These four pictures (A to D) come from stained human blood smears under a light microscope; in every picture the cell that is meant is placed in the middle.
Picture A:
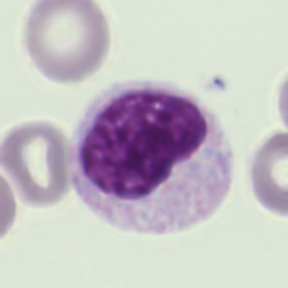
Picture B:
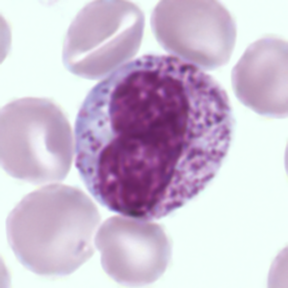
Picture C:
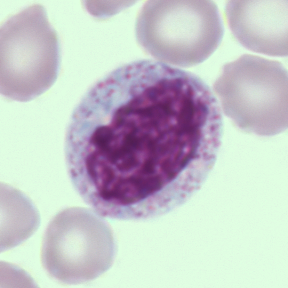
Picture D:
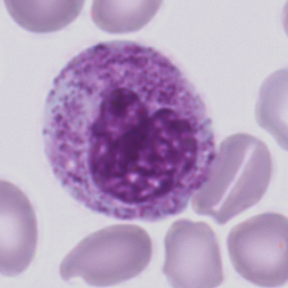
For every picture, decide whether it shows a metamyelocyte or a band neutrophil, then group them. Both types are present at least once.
A: metamyelocyte
B: metamyelocyte
C: metamyelocyte
D: band neutrophil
